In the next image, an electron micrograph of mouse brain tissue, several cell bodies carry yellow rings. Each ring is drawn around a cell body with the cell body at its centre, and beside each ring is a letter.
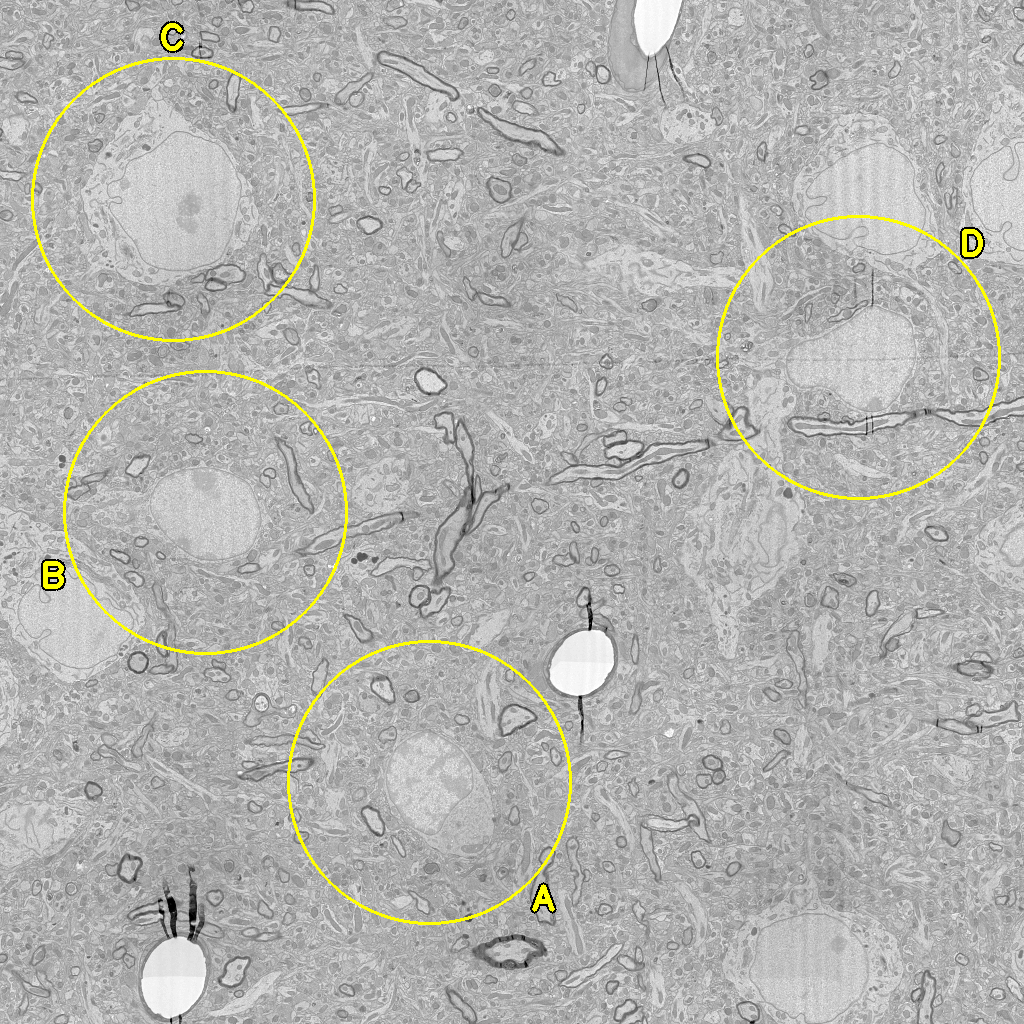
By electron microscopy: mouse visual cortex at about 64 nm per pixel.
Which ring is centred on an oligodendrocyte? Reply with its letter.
A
